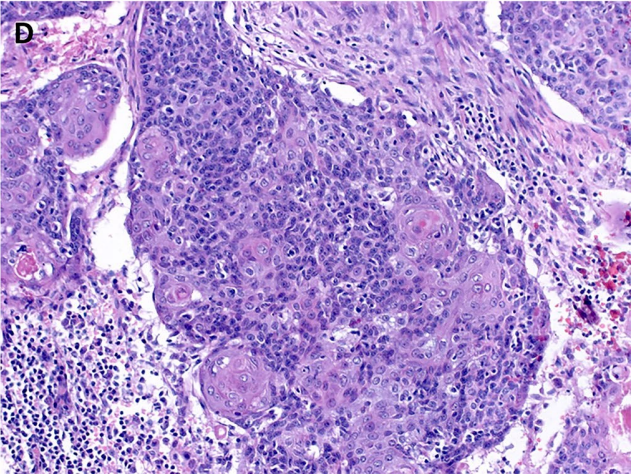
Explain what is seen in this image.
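A tumor nest composed mostly of small, uniform cells with dark blue nuclei and scant cytoplasm fills the field, giving it a blue appearance. Scattered within it are rounded clusters of larger cells with ample pink cytoplasm and concentric arrangement, resembling follicle-like squamous whorls. Around the nest lie clefts, stroma and a dense crowd of small dark lymphoid cells at the lower left, with some red blood cells at the right edge.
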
